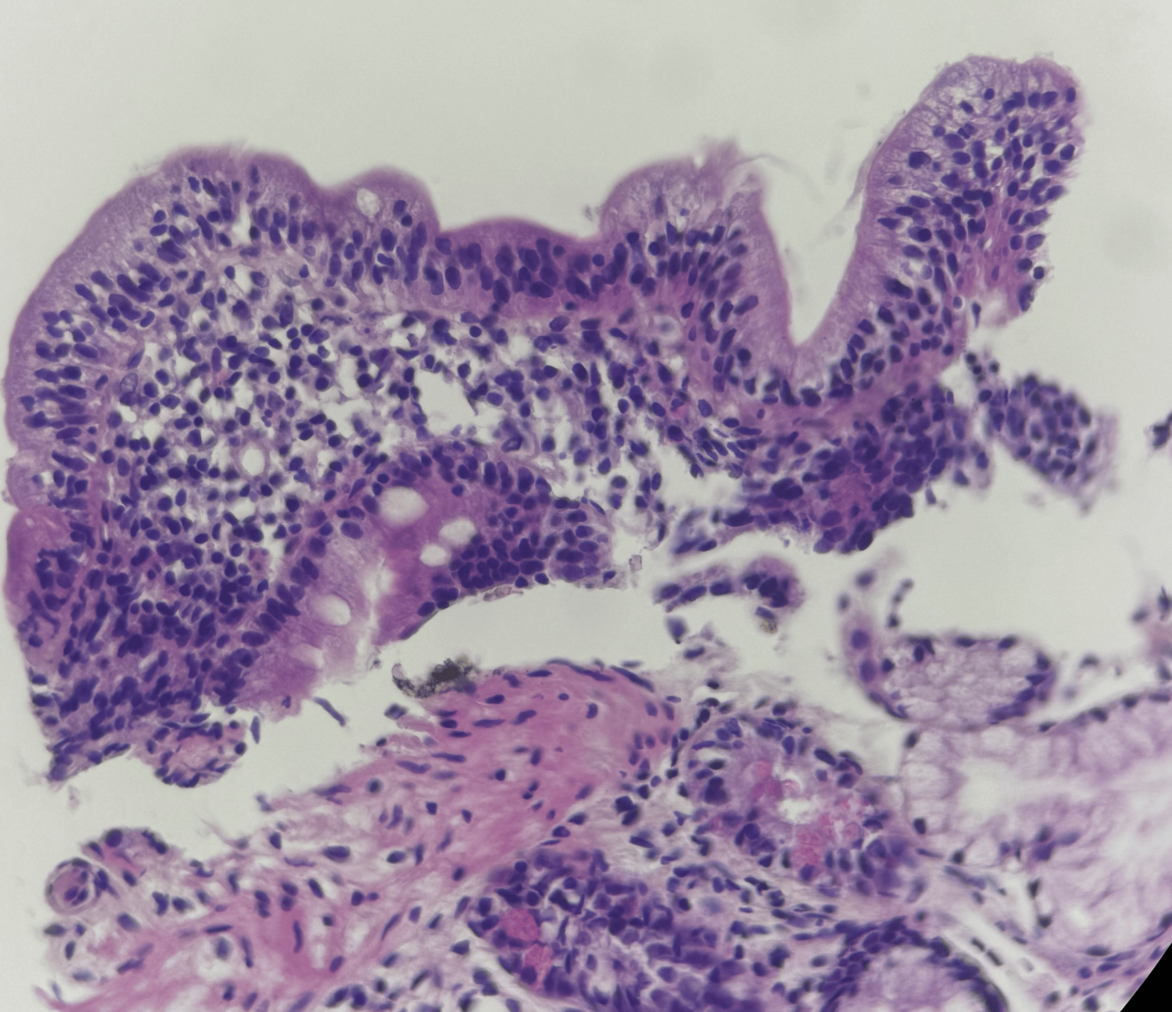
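This is duodenal mucosa with a flattened surface lacking tall villi, lined by columnar epithelium with scattered pale goblet cells. Numerous small dark lymphocyte nuclei lie among the epithelial cells, and the lamina propria beneath is densely filled with small round inflammatory cells. Pink fibromuscular tissue and glands appear in the lower part of the field.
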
